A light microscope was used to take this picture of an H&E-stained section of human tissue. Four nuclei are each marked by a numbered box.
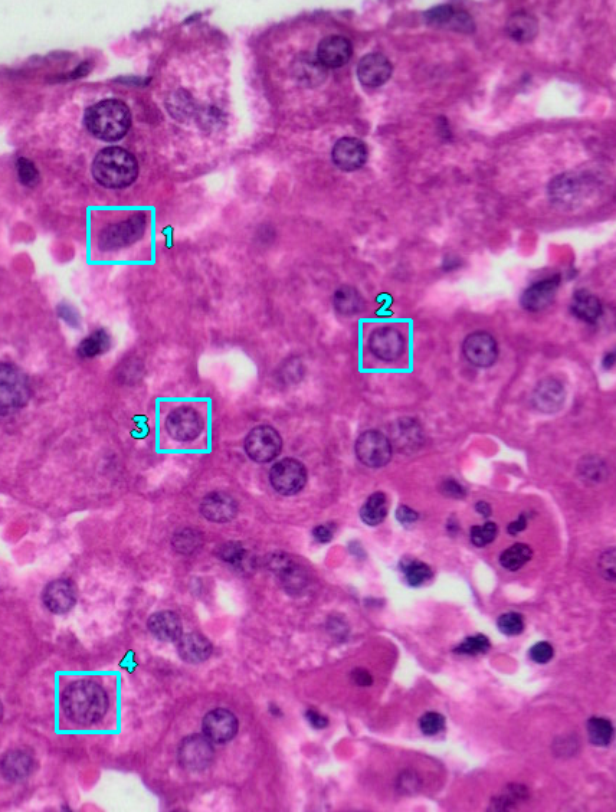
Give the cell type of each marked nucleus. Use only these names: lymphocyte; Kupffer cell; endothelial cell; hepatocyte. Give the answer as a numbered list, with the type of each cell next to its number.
1. Kupffer cell
2. hepatocyte
3. hepatocyte
4. hepatocyte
